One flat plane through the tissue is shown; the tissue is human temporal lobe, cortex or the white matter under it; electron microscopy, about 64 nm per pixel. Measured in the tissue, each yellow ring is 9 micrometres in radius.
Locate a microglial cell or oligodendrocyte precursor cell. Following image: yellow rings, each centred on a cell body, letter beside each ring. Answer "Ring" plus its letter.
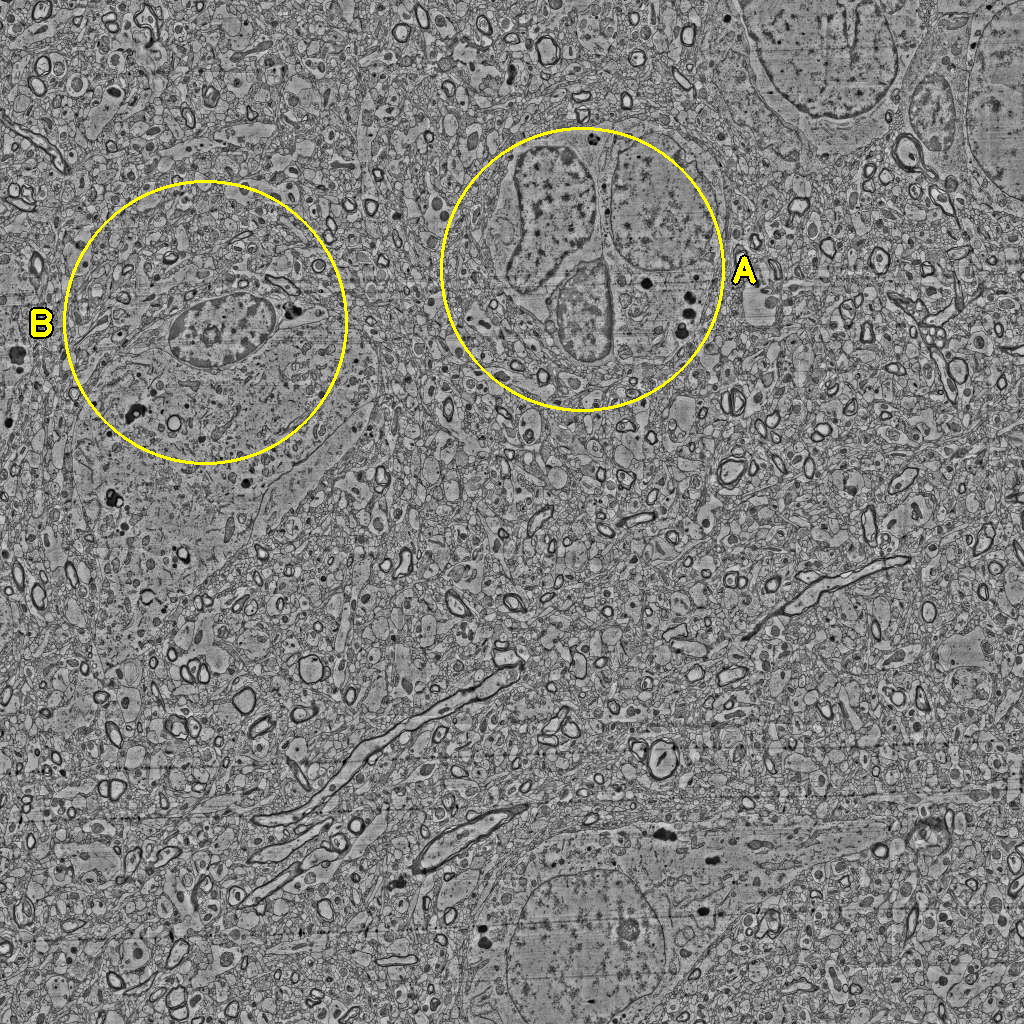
Ring B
